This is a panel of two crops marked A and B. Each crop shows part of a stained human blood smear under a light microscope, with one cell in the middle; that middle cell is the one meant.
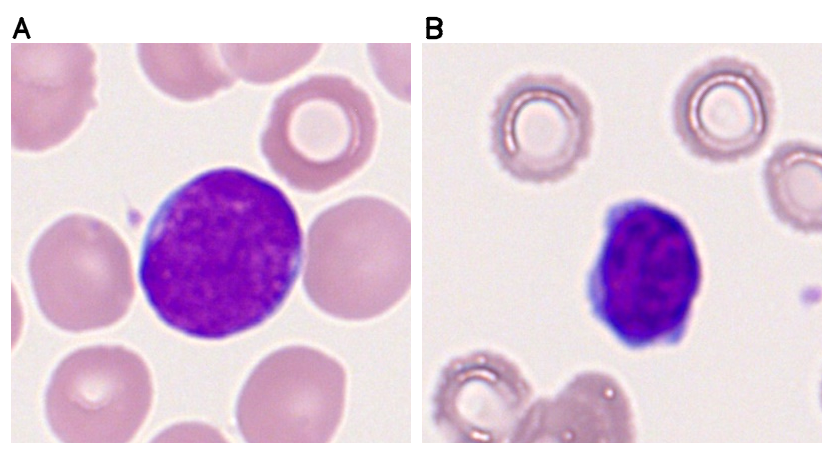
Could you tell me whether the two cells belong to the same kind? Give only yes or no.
no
